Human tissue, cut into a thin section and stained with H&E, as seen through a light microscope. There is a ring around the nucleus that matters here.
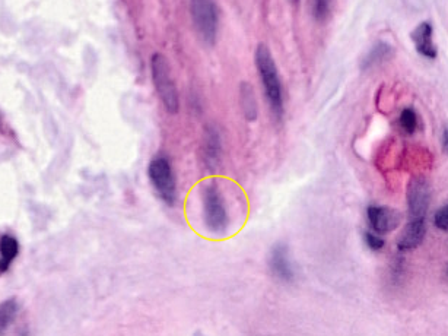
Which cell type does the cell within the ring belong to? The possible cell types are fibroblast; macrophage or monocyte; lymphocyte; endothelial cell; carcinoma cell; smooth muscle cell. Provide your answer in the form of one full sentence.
In short, the cell within the ring on this section is a smooth muscle cell.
